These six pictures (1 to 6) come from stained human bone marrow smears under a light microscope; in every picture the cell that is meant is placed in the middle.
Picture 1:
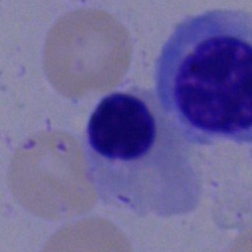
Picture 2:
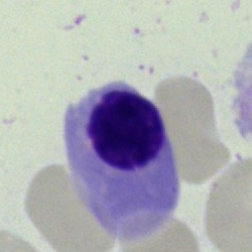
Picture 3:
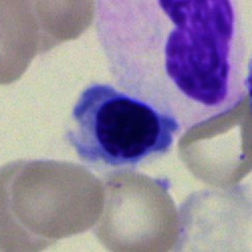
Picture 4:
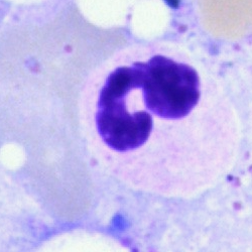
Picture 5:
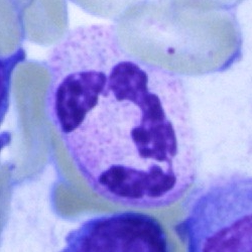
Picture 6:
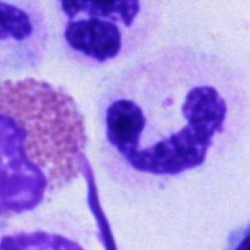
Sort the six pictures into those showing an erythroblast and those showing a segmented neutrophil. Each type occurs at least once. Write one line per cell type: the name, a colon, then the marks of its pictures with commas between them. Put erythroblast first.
erythroblast: 1, 2, 3
segmented neutrophil: 4, 5, 6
